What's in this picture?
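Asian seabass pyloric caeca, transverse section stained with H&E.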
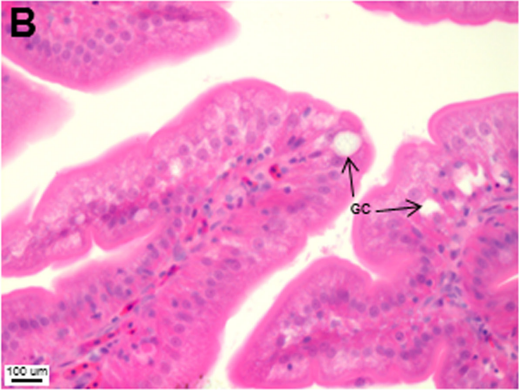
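These are finger-like folds of the mucosa, lined by a single layer of tall columnar epithelial cells with a few goblet cells among them. The columnar cells have oval, purple nuclei lying in a row and pink cytoplasm, with a dense pink band along the free surface facing the lumen. Goblet cells are scattered singly and appear as round, pale or clear spaces within the epithelium. Each fold has a narrow core of connective tissue holding small, dark, crowded nuclei and some red-stained cells. Open, empty spaces of lumen separate the neighbouring folds.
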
